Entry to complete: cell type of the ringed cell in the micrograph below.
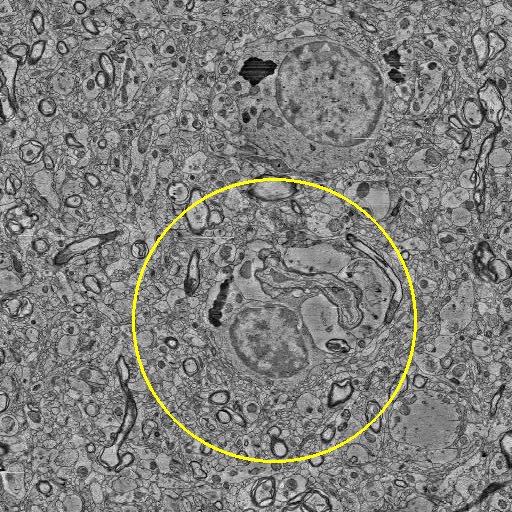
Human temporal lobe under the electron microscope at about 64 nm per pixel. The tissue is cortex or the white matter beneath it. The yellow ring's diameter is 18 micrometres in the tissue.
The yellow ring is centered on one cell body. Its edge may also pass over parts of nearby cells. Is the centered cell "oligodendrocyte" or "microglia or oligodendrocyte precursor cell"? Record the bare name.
oligodendrocyte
